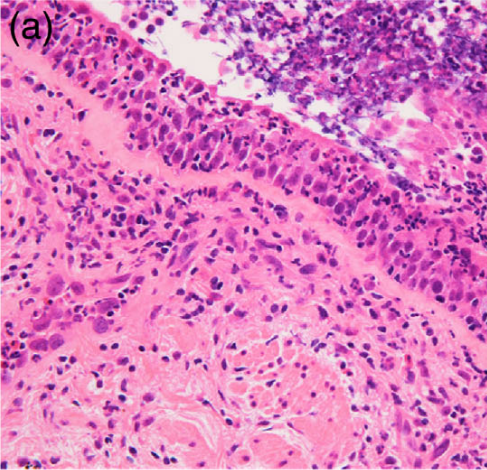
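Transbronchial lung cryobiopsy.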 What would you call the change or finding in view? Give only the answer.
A: Infiltration of various inflammatory cells.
